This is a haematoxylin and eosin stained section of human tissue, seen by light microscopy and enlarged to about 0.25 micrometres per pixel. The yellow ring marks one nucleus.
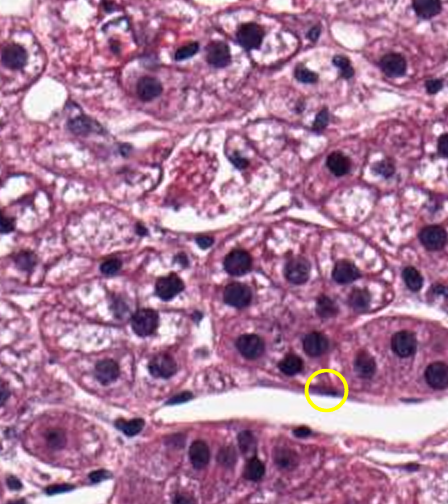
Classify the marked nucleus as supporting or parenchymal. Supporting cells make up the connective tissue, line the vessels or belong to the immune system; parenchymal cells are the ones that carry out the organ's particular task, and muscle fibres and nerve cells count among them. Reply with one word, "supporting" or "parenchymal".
supporting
